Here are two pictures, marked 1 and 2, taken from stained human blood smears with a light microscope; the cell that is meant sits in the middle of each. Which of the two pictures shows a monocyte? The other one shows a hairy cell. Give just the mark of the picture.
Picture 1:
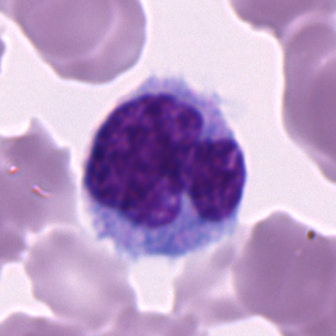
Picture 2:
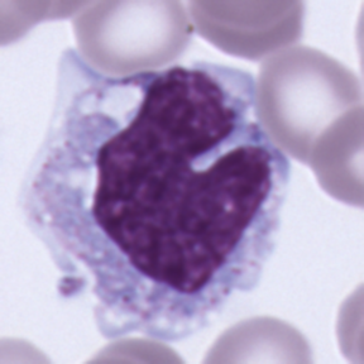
2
